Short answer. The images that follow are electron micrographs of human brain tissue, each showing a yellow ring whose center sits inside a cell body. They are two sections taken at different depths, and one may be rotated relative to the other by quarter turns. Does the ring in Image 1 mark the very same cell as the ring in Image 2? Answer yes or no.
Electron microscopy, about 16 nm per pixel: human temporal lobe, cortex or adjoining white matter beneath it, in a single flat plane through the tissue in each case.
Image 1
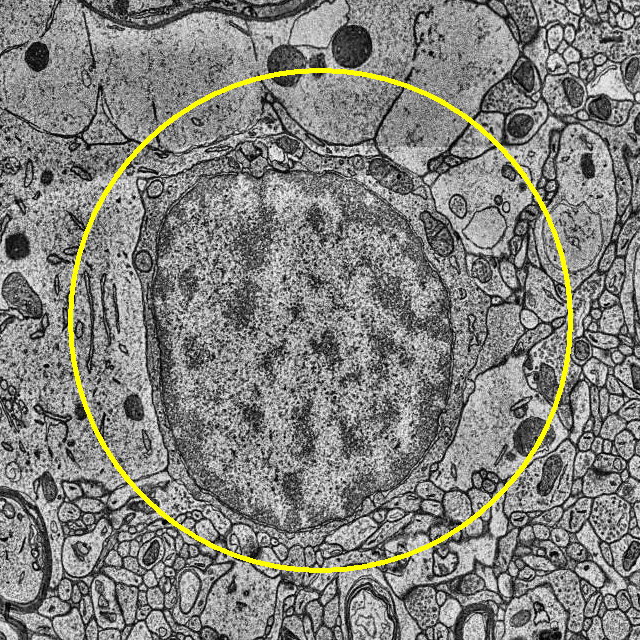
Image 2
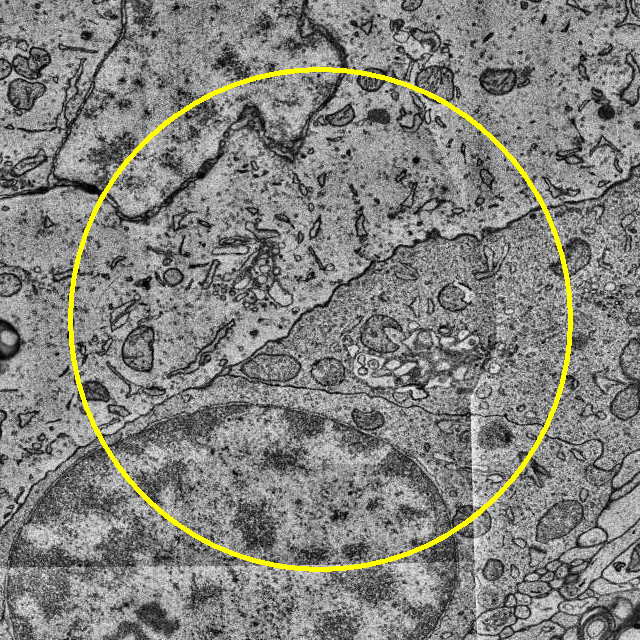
no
